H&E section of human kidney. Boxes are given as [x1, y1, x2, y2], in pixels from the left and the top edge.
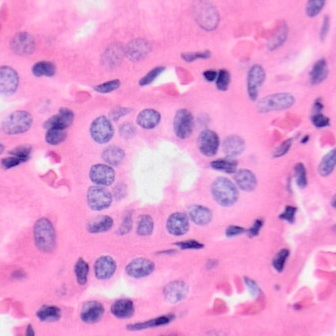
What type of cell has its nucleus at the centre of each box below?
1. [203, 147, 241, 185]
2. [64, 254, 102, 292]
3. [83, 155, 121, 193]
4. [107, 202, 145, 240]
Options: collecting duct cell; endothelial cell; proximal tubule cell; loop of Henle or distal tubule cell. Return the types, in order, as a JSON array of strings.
["collecting duct cell", "loop of Henle or distal tubule cell", "collecting duct cell", "collecting duct cell"]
